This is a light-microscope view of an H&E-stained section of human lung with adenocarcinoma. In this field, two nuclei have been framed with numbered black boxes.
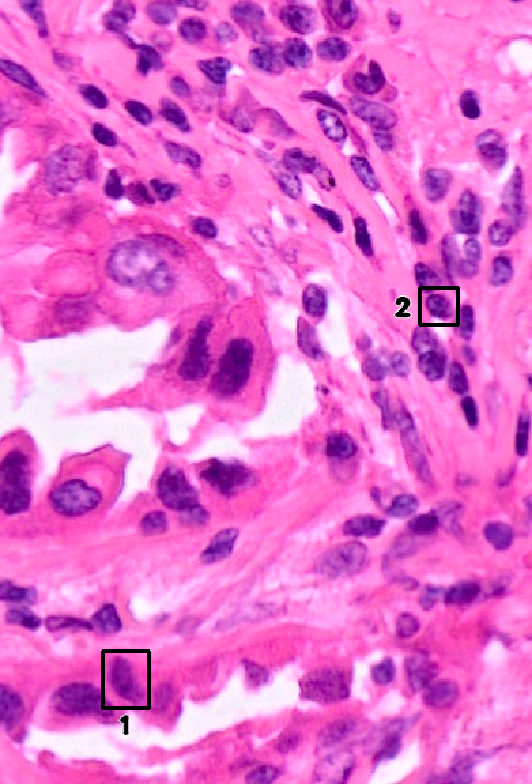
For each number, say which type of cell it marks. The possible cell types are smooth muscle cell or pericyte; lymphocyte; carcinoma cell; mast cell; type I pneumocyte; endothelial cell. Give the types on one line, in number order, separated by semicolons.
carcinoma cell; lymphocyte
